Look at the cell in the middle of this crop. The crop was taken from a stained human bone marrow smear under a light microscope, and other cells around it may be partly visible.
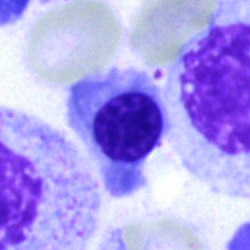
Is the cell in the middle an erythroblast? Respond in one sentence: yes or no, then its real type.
Yes, an erythroblast is what the central cell is.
